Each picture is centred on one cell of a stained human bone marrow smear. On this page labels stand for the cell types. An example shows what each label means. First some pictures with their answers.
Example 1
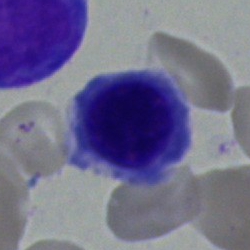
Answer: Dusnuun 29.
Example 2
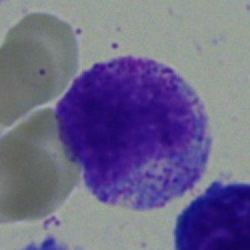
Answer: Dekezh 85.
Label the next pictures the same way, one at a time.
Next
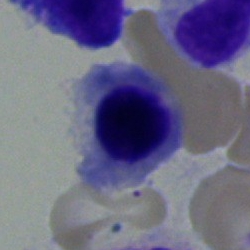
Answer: Dusnuun 29.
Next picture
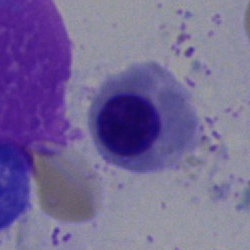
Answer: Dusnuun 29.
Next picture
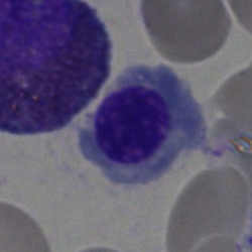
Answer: Dusnuun 29.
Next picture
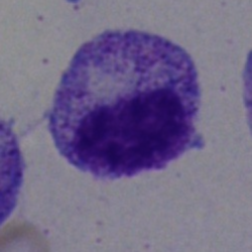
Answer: Dekezh 85.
